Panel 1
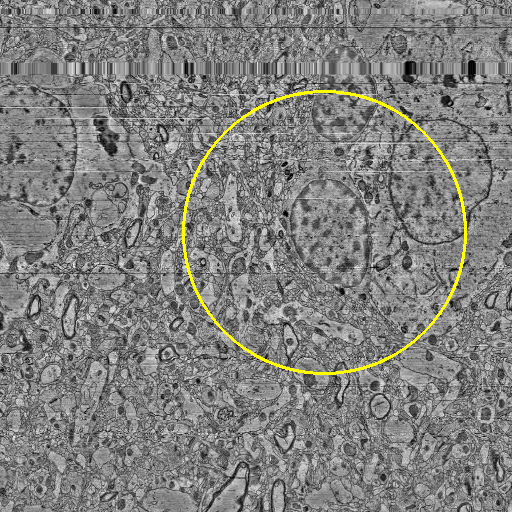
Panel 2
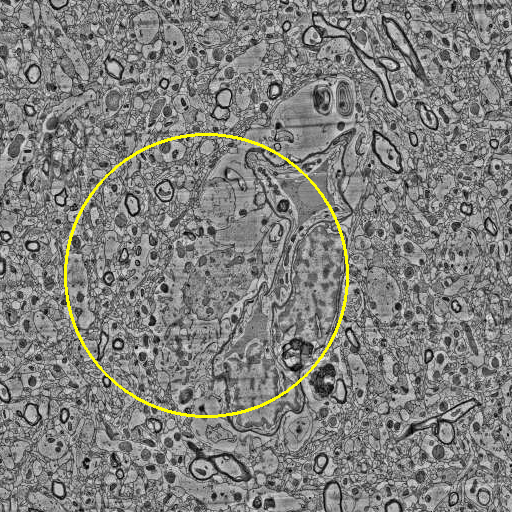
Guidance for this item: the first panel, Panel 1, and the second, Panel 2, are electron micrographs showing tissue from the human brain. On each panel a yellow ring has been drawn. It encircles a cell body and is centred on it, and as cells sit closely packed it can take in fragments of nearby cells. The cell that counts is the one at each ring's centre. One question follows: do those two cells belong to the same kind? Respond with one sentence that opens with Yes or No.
Yes, the cells at the ring centres in Panel 1 and Panel 2 are of one kind.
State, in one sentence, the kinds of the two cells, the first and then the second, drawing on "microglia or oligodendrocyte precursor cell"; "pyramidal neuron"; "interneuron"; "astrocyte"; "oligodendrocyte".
The cell at the ring centre is an oligodendrocyte in both pictures.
